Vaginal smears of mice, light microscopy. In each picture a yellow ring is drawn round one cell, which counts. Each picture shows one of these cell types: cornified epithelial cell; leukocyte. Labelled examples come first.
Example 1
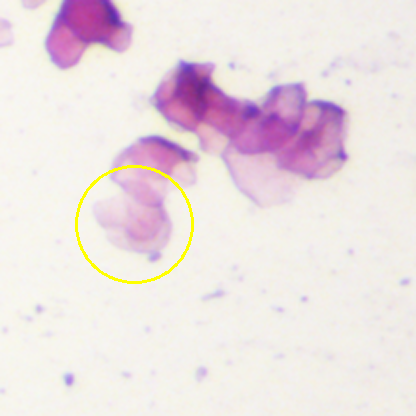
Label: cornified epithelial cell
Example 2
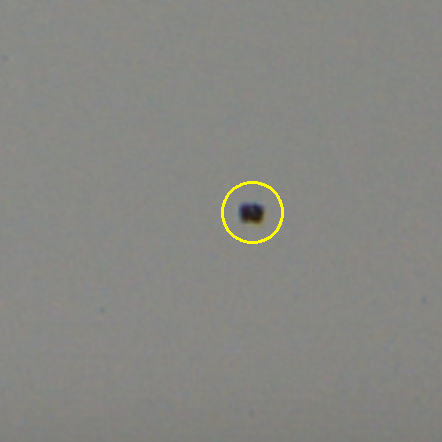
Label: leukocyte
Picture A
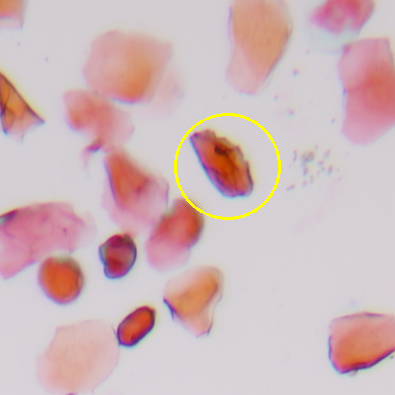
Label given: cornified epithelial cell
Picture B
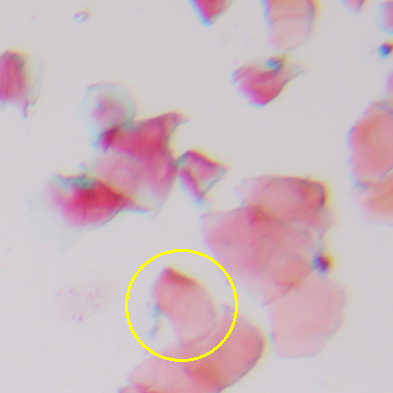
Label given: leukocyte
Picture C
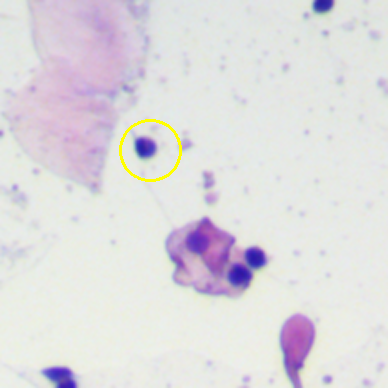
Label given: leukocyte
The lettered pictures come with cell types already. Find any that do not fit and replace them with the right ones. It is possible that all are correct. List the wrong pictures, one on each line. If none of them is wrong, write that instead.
B: change leukocyte to cornified epithelial cell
